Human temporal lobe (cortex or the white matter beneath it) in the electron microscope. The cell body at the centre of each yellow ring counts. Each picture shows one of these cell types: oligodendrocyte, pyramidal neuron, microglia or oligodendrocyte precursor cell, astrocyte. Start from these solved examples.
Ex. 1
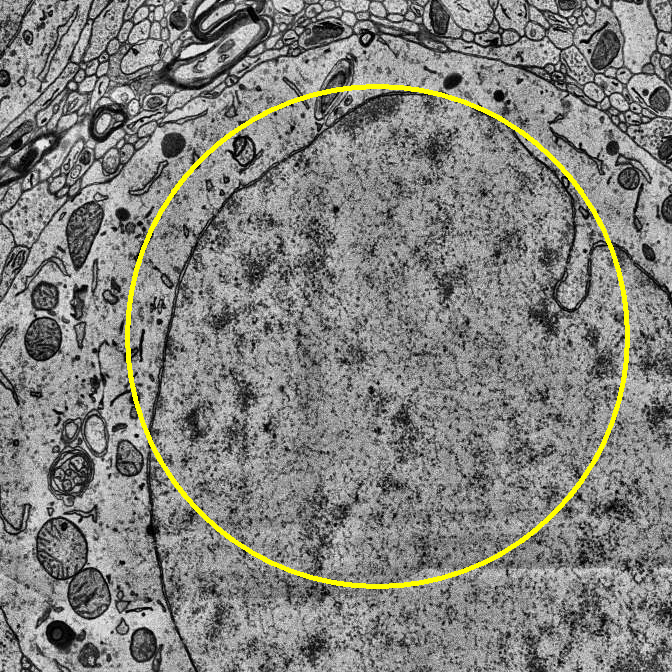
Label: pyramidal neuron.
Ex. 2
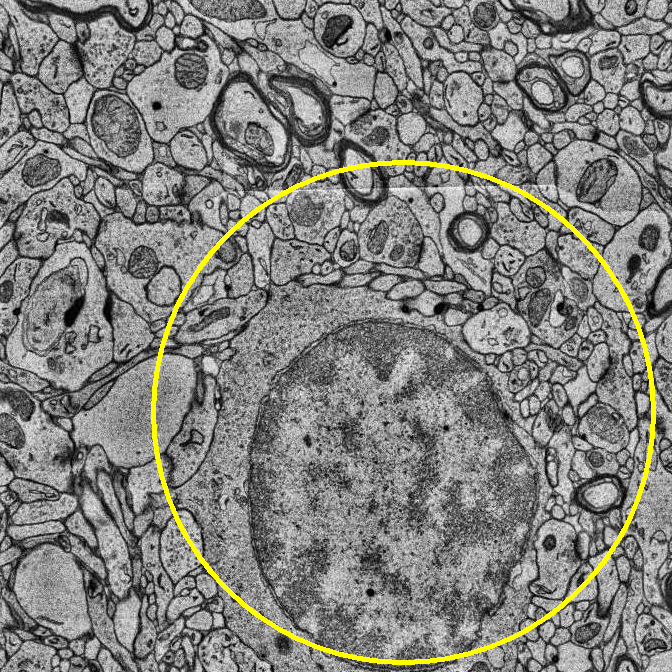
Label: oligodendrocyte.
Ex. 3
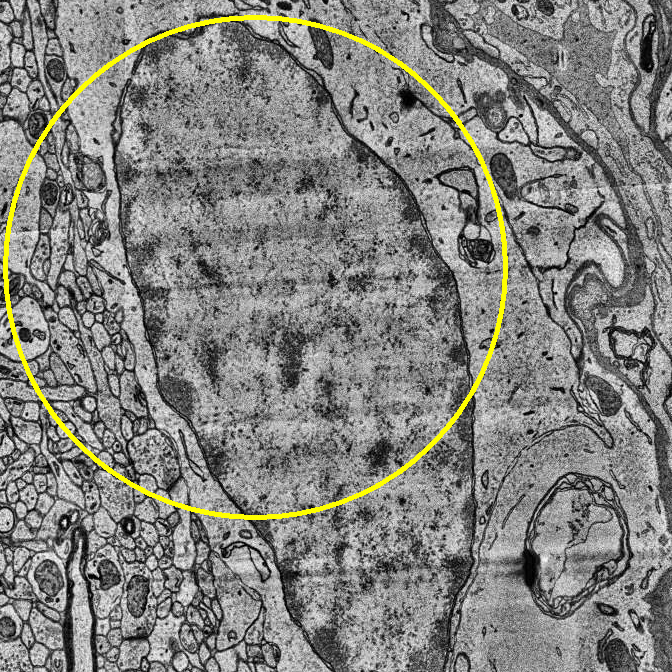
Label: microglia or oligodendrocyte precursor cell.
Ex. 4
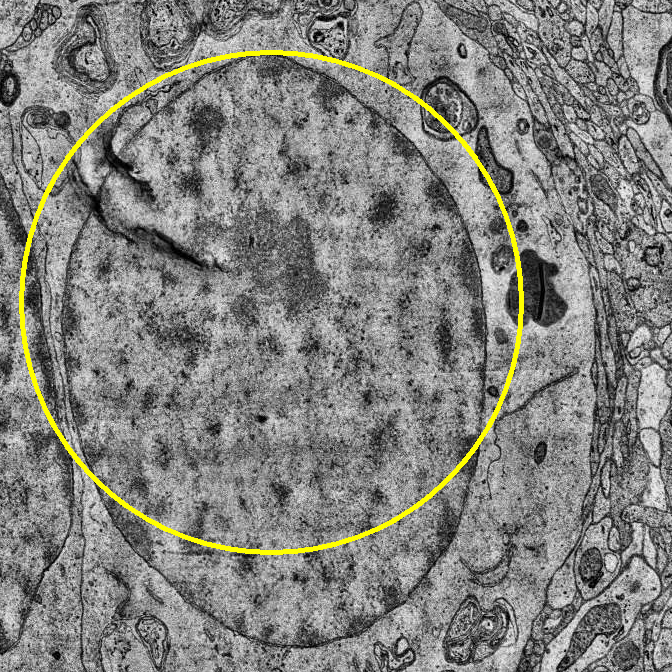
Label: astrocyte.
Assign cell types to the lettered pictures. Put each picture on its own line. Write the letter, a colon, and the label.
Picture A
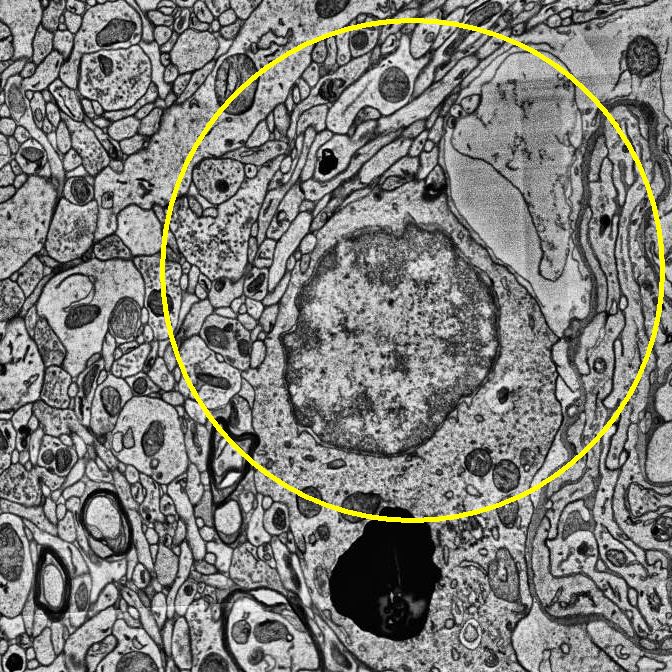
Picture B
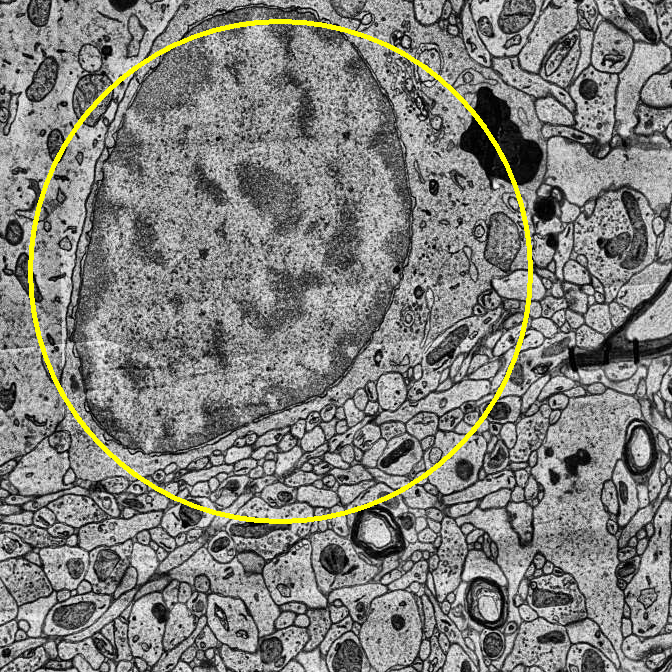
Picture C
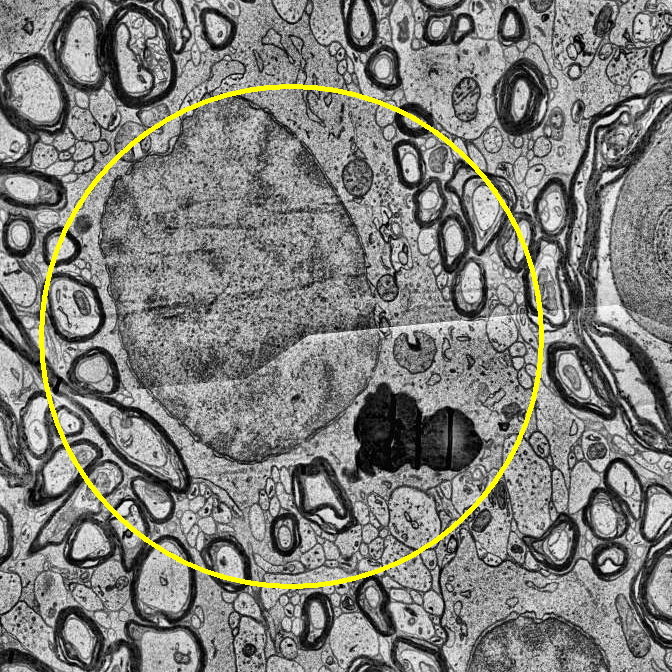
A: oligodendrocyte.
B: oligodendrocyte.
C: oligodendrocyte.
